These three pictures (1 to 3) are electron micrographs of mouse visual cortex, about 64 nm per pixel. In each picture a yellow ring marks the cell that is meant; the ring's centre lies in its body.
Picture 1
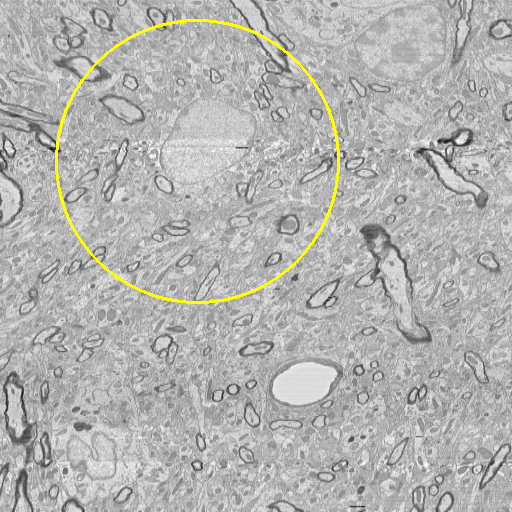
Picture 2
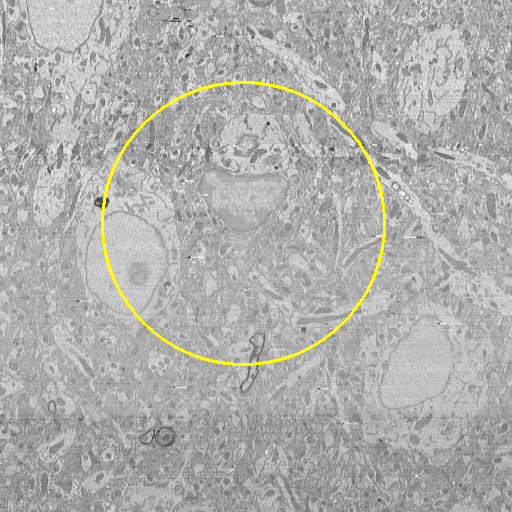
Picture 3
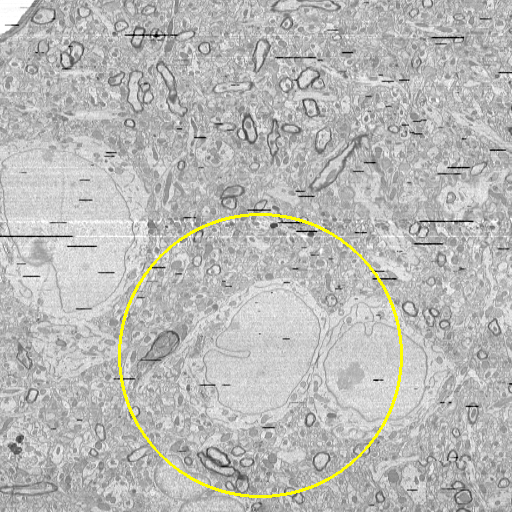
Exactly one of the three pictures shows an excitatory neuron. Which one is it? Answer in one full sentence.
The cell in picture 3 is the excitatory neuron.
